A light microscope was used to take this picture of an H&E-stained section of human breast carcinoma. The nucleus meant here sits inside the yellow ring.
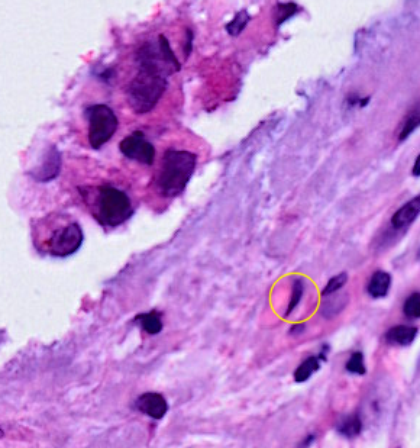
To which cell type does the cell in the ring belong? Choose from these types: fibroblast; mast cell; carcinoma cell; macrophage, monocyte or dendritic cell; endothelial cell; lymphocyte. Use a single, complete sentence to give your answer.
The category to which the cell in the ring belongs is that of an endothelial cell.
